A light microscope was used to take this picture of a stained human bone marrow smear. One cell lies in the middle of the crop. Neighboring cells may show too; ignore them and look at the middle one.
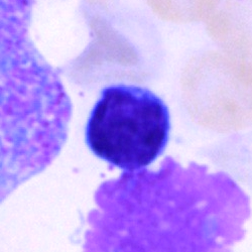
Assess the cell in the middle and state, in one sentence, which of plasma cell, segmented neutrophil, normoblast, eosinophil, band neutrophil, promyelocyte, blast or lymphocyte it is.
The centered cell in this crop is a lymphocyte.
